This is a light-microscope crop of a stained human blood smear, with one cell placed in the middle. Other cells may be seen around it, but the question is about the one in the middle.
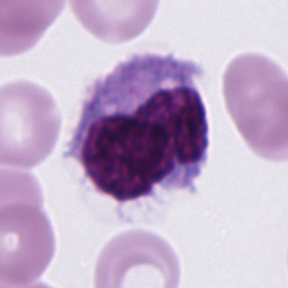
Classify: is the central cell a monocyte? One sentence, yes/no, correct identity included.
Yes, the cell that is in the middle is a monocyte.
